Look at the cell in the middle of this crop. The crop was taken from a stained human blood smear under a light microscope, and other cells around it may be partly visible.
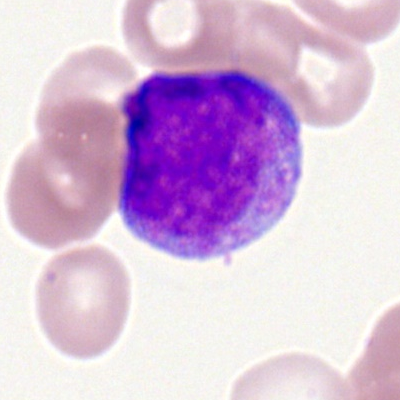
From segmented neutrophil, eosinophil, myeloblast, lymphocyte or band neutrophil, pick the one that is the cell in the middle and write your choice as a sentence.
The cell at the central position in this crop is a myeloblast.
